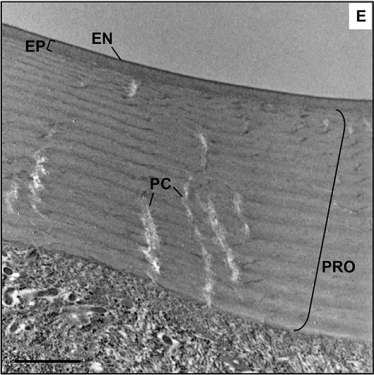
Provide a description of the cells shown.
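A thin, dense envelope forms the outer surface, with a narrow epicuticle just beneath it. The procuticle below is thick and built of many parallel horizontal laminae. Pale pore canals run roughly perpendicular through the laminae as vertical streaks. At the bottom lies the granular and vesicle-rich cytoplasm of the underlying epidermis.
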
